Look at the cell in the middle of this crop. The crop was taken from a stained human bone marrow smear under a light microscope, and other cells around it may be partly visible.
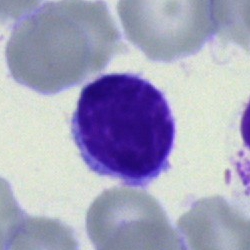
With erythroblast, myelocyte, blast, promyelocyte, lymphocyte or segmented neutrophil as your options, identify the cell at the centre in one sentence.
Centrally within this crop lies a lymphocyte.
